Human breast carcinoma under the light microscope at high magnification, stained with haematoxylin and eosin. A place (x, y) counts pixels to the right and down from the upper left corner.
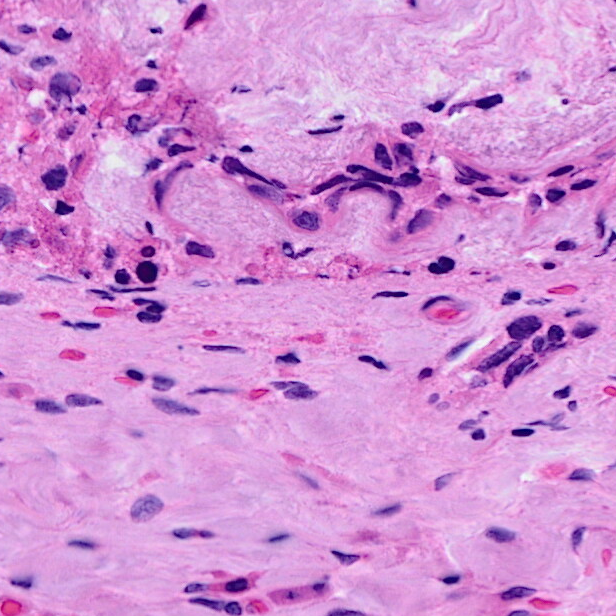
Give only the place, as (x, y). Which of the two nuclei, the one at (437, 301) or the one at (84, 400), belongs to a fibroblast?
(84, 400)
